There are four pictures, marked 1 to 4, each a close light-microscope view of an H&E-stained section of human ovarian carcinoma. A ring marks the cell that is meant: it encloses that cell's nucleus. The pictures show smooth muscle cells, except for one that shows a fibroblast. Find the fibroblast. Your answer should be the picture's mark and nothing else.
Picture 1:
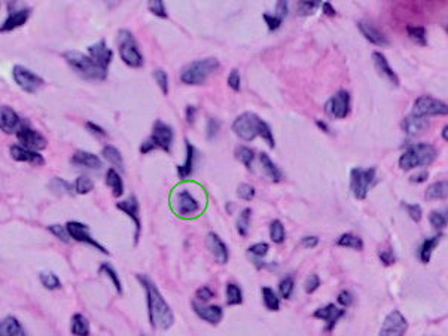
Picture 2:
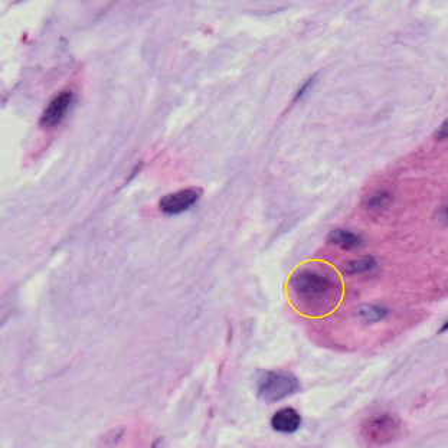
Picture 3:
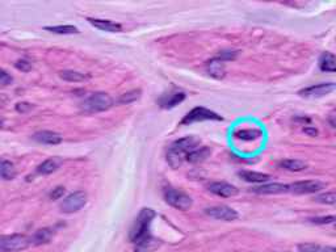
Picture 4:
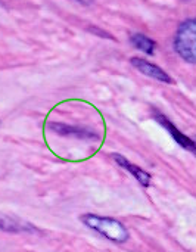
4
